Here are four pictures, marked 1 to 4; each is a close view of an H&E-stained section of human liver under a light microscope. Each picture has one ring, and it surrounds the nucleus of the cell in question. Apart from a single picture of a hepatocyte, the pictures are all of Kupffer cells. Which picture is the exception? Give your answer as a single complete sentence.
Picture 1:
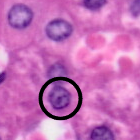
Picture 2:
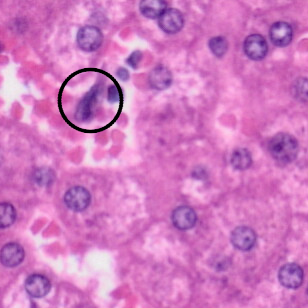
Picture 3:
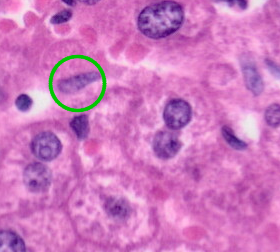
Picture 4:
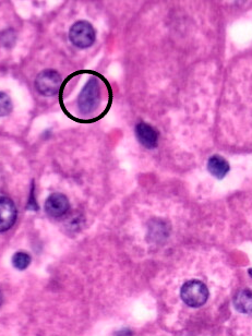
Picture 1 shows the hepatocyte.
